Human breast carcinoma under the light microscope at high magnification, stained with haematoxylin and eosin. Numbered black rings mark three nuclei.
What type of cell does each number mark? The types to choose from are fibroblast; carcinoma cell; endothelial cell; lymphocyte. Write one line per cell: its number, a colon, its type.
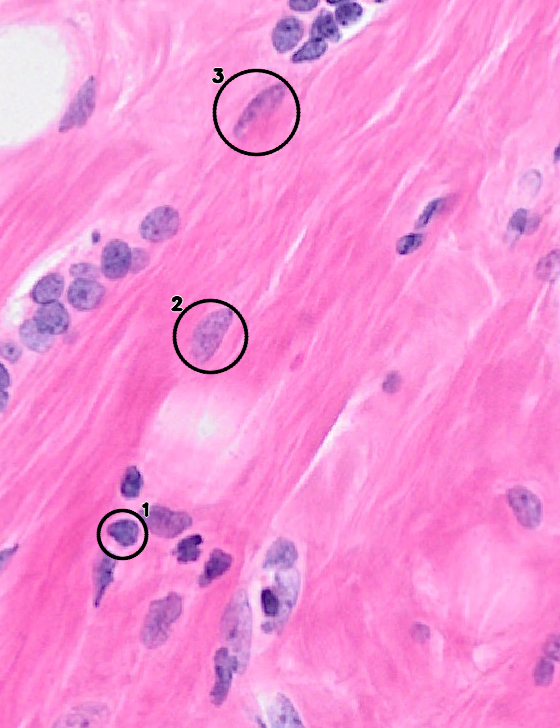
1: lymphocyte
2: fibroblast
3: fibroblast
